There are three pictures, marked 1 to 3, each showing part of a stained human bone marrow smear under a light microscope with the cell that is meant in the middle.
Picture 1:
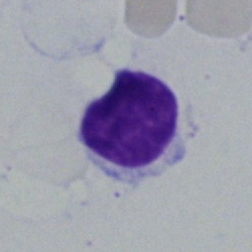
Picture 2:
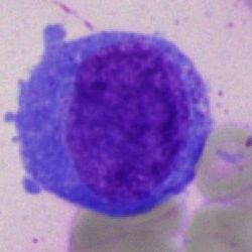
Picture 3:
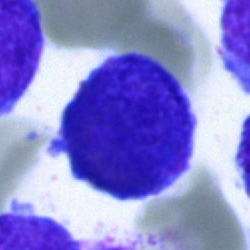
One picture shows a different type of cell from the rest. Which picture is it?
1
